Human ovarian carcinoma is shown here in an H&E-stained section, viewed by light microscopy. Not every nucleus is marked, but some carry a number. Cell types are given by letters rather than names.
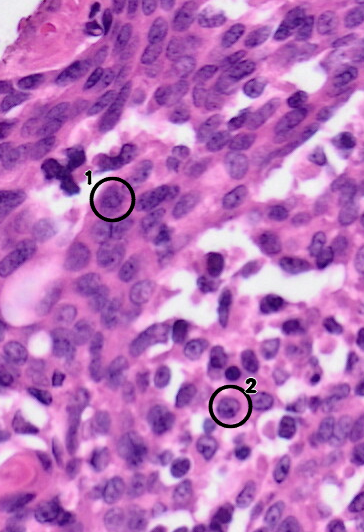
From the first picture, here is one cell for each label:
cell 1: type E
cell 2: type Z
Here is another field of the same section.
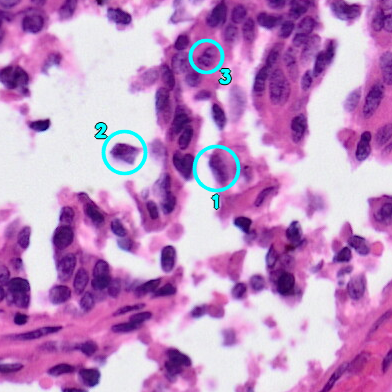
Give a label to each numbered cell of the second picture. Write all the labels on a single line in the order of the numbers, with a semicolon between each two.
type E; type E; type Z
